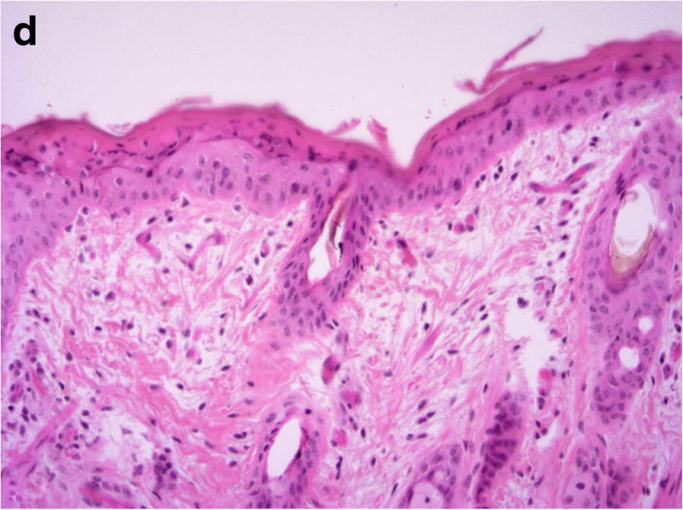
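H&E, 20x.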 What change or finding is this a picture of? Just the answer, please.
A: Short, fine, fibrillated, fragmented, irregular, and present at a low density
